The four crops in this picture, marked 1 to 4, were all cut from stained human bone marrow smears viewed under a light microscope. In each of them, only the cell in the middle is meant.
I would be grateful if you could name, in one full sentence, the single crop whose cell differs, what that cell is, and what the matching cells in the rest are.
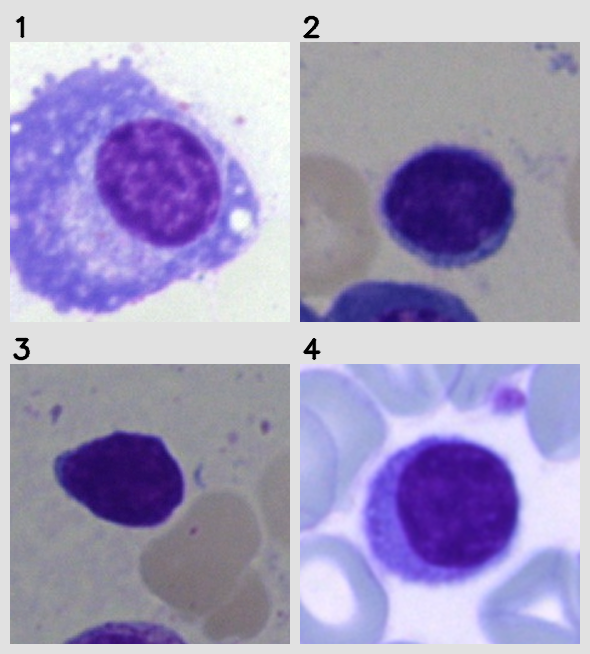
Crop 1 does not match the others; it shows a plasma cell, and they show lymphocytes.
